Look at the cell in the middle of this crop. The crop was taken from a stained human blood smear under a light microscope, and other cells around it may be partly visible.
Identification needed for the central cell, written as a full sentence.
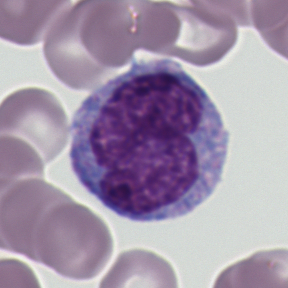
Occupying the centre of the crop is a monocyte.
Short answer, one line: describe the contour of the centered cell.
Projections or ragged segments give this cell an irregular rather than smooth border.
